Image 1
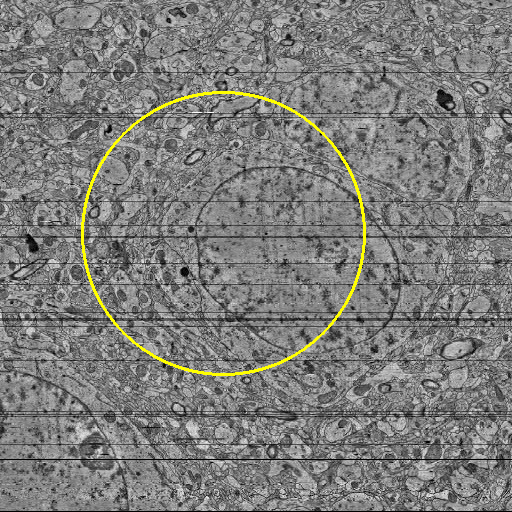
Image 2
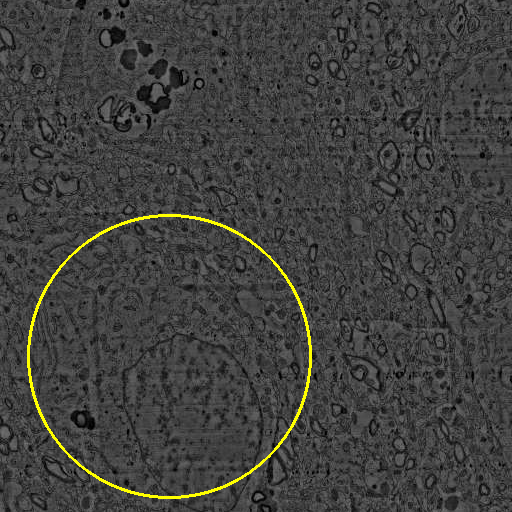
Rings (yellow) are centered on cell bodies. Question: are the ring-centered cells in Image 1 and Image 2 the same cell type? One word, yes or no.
yes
